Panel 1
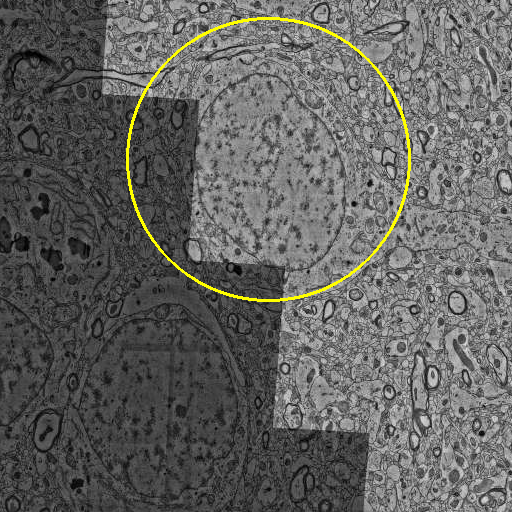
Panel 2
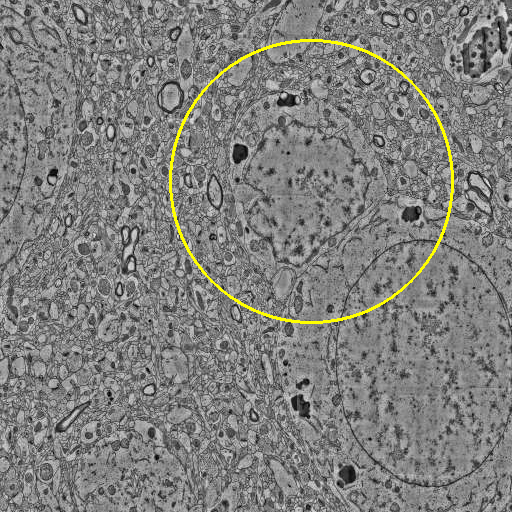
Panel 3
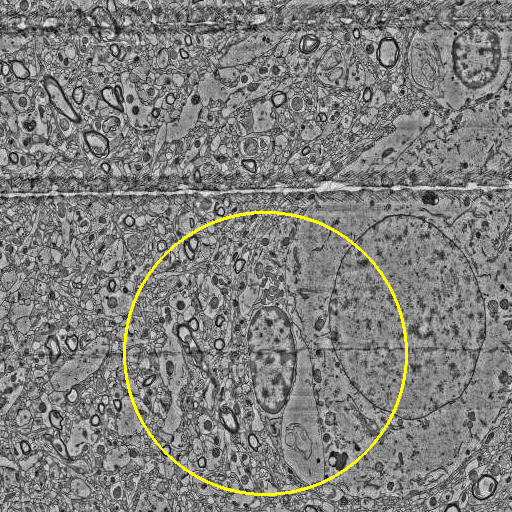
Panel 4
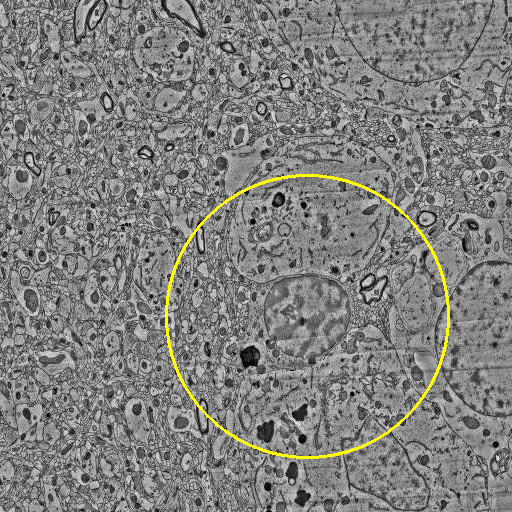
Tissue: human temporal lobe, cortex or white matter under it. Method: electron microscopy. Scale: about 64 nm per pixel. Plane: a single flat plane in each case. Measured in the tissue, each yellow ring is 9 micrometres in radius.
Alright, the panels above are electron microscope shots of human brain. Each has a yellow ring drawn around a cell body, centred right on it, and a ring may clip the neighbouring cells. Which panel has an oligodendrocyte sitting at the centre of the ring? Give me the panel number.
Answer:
4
